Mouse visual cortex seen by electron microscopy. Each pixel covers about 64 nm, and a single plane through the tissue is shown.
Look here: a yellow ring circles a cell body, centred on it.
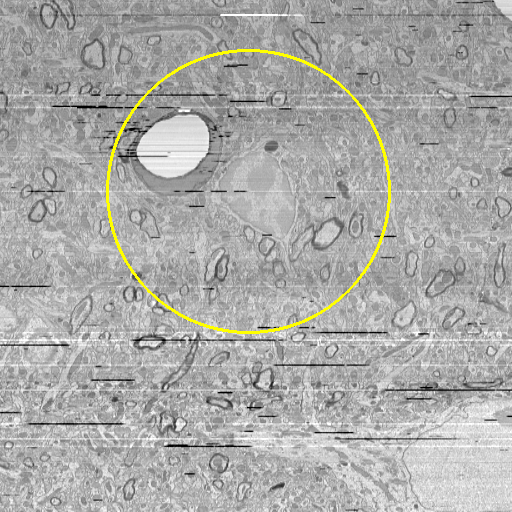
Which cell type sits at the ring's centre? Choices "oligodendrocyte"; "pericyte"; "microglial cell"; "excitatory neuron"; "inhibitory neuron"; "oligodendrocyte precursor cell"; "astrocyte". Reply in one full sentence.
The cell at the centre of the yellow ring in the picture is a microglial cell.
